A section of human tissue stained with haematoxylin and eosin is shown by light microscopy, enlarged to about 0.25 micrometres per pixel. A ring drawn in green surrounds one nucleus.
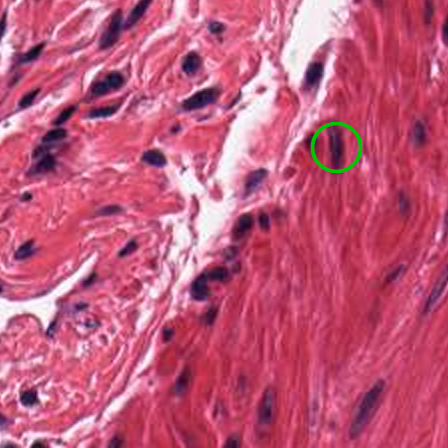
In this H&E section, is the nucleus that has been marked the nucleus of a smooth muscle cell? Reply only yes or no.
yes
